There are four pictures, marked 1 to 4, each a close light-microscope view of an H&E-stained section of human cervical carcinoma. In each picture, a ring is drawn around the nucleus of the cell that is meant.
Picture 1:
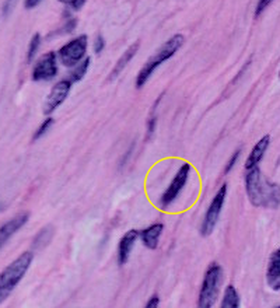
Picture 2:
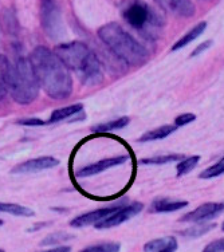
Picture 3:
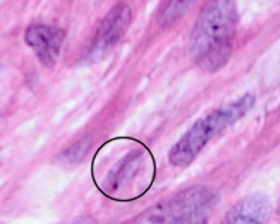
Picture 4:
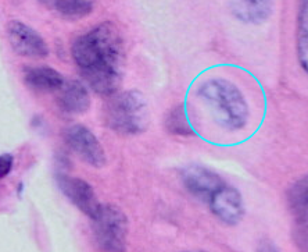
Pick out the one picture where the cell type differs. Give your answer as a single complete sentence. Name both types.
Picture 4 is the odd one out: it shows a squamous carcinoma cell, while the others show fibroblasts.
